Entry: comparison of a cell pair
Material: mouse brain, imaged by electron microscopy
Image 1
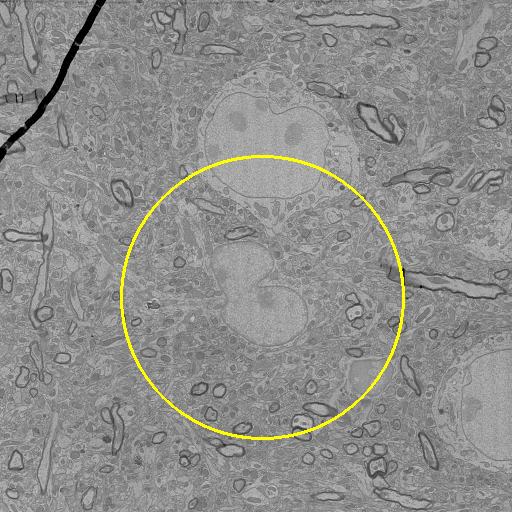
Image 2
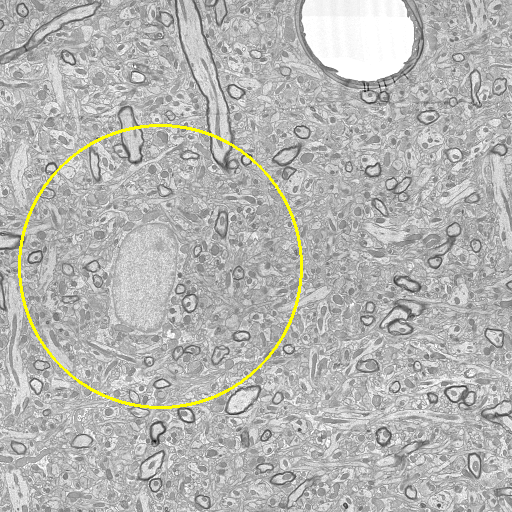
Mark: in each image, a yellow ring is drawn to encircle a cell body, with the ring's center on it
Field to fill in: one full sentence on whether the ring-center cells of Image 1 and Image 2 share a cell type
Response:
Yes, Image 1 and Image 2 each show a ring-center cell of one shared type.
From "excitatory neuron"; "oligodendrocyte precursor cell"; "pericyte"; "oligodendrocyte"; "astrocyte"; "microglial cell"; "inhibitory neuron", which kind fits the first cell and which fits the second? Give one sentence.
In each picture the ringed cell is an astrocyte.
